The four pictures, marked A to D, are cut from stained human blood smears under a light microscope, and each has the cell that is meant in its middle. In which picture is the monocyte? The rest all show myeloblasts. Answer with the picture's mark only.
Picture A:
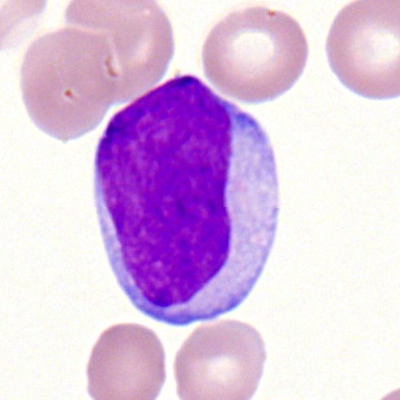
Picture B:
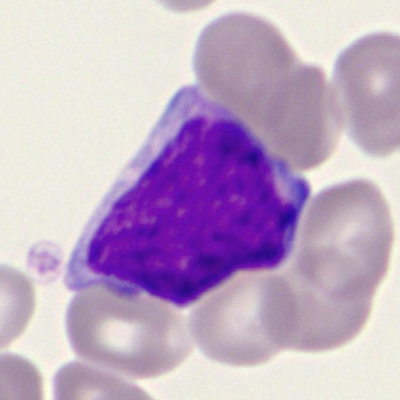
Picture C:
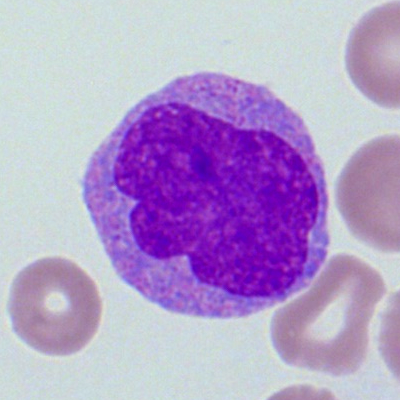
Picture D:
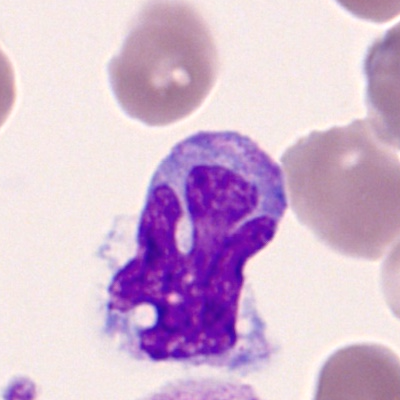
D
